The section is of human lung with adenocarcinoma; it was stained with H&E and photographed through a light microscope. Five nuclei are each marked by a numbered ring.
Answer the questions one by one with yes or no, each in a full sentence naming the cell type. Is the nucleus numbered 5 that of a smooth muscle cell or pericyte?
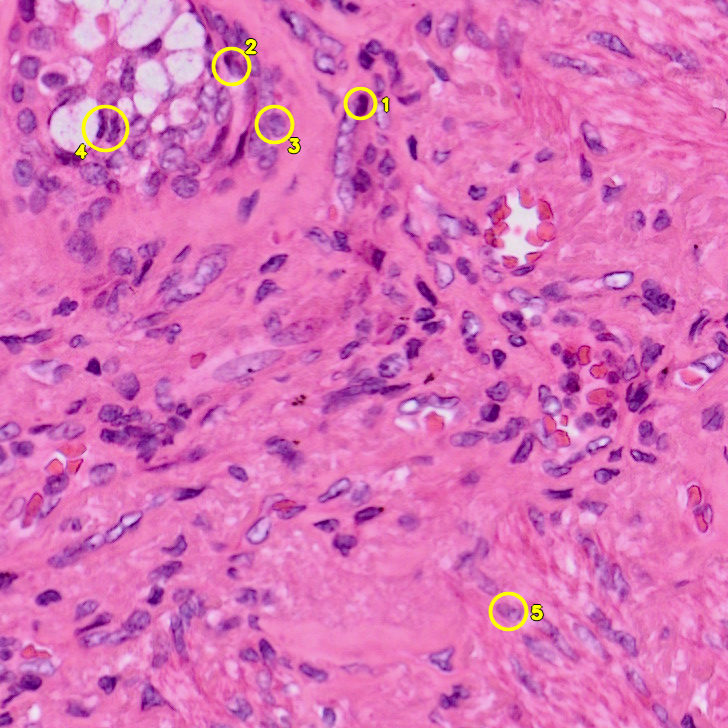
Yes, the cell shown as number 5 is a smooth muscle cell or pericyte.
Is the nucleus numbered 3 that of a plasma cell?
No, cell 3 is not a plasma cell; a ciliated epithelial cell is correct.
